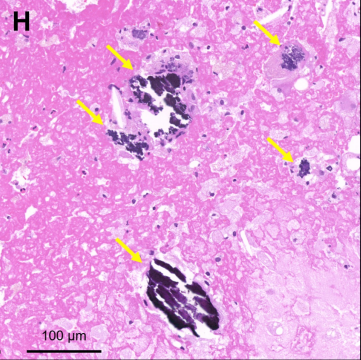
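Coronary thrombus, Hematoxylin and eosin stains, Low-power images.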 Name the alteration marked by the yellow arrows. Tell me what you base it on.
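Irregular dark purple-black fragments. Fragments lie scattered in pink amorphous material. So: Fragmented calcification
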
